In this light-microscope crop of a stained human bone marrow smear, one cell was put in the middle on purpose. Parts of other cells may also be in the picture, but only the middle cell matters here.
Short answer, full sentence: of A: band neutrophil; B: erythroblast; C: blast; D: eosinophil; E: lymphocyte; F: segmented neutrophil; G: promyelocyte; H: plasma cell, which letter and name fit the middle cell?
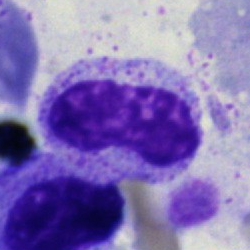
Option A is to be chosen, as the central cell is a band neutrophil.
